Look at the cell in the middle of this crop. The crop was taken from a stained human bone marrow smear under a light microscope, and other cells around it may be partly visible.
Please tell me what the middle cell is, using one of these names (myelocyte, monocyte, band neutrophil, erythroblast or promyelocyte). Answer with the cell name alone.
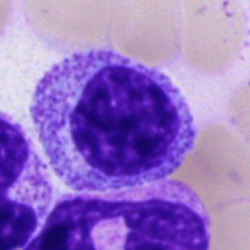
myelocyte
